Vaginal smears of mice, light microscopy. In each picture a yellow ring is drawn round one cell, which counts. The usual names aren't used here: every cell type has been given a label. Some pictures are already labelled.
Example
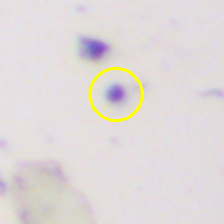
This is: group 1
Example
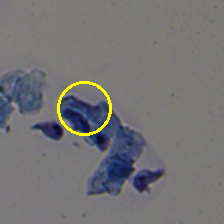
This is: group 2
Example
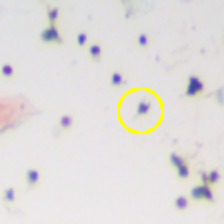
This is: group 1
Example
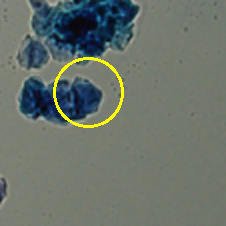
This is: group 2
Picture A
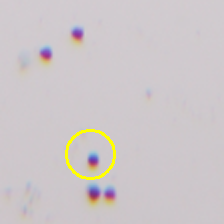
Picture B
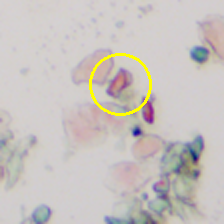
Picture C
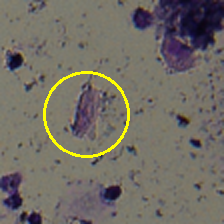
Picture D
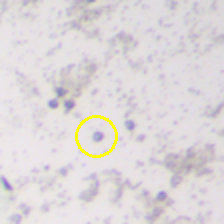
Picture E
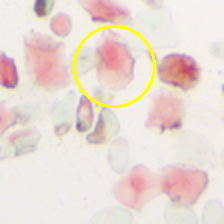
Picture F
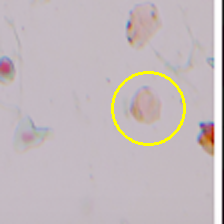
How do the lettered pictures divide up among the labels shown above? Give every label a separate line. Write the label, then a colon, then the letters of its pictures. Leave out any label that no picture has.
group 1: A, D
group 2: B, C, E, F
